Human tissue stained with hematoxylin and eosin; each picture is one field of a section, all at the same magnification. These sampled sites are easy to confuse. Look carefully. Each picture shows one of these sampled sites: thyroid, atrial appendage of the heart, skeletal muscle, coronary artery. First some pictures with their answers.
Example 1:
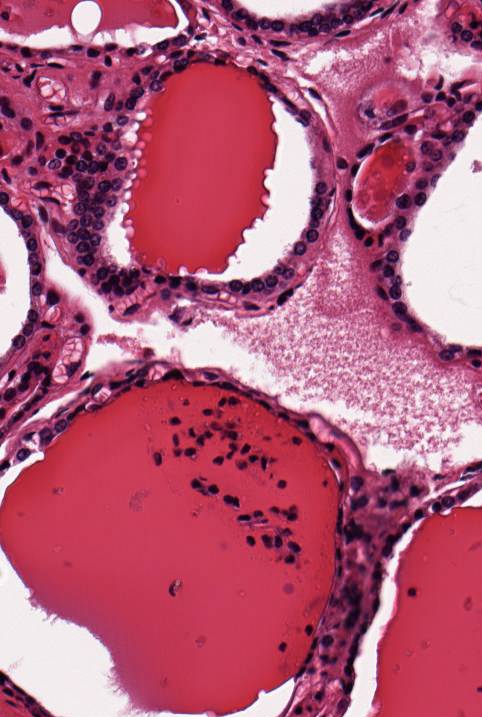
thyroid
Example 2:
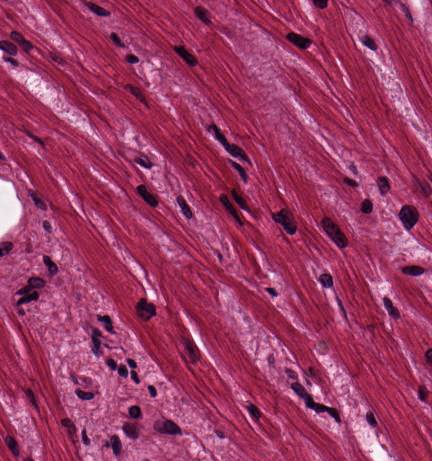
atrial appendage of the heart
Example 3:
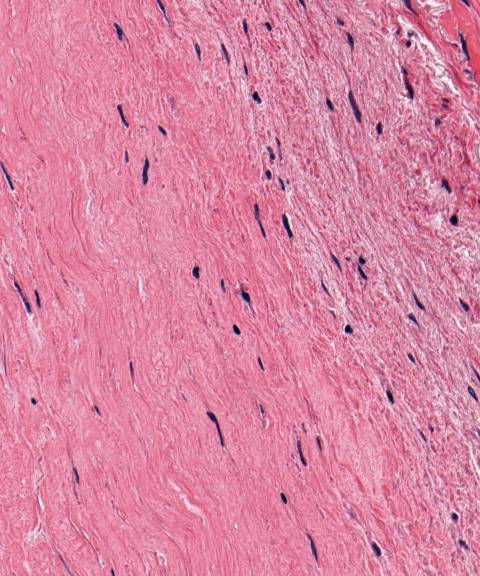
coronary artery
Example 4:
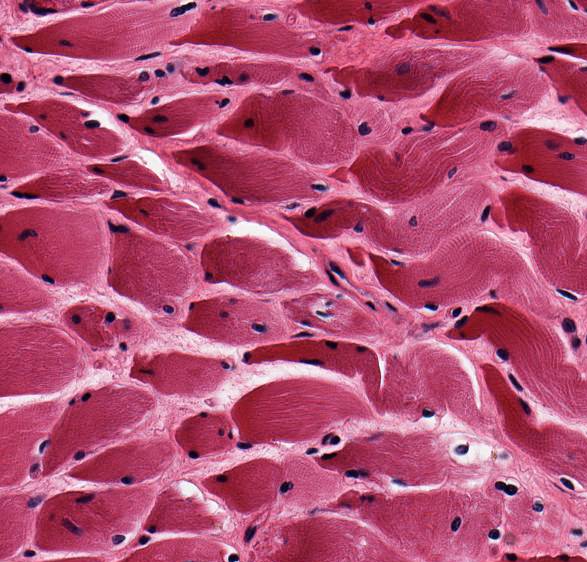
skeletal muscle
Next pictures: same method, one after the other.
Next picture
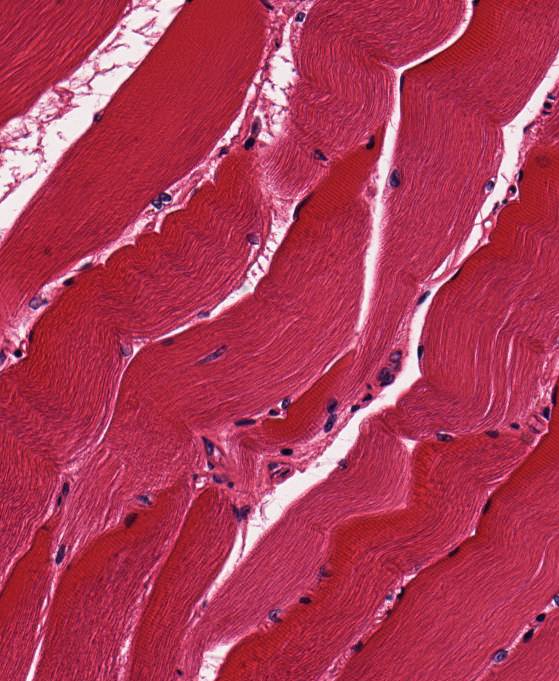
skeletal muscle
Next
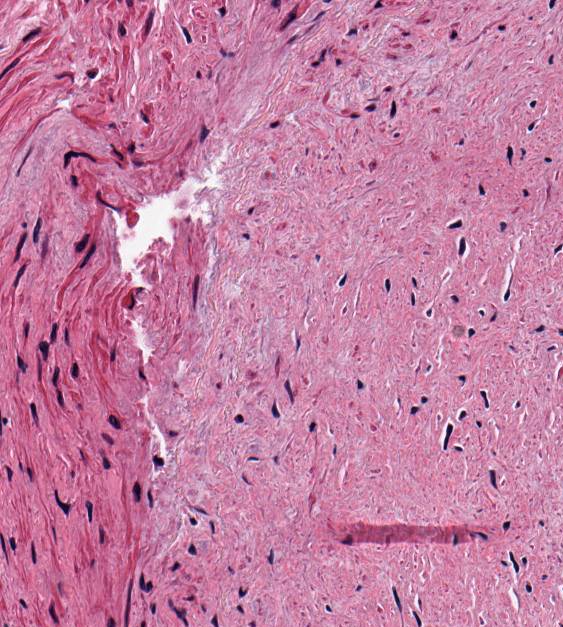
coronary artery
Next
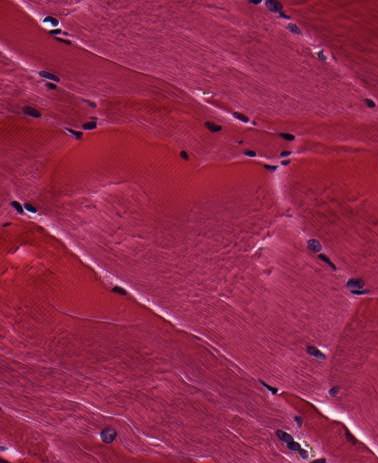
skeletal muscle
